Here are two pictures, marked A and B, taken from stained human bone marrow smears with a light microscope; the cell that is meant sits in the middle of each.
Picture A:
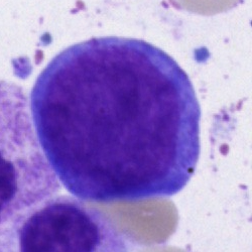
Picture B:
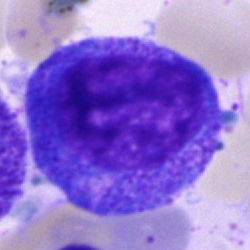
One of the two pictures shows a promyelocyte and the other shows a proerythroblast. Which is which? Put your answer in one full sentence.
Picture A shows a proerythroblast and picture B shows a promyelocyte.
